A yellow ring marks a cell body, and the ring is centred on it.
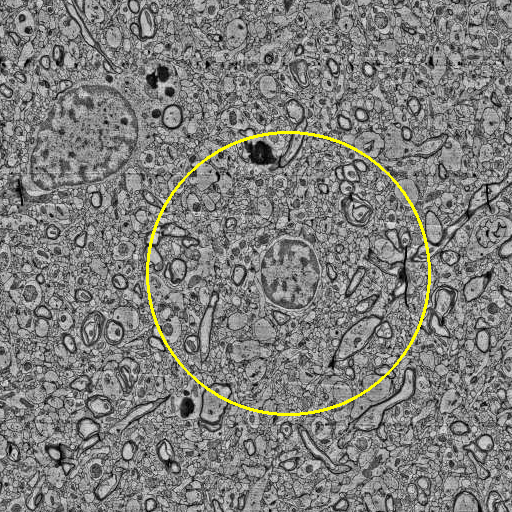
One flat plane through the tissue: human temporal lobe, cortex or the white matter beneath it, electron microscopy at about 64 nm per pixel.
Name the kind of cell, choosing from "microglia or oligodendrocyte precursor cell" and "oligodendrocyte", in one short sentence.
The marked cell body belongs to a microglial cell or oligodendrocyte precursor cell.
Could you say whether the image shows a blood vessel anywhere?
No, there is no blood vessel in the image.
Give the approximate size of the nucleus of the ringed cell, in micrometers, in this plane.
In this plane the ringed cell's nucleus is roughly 4 micrometres across.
